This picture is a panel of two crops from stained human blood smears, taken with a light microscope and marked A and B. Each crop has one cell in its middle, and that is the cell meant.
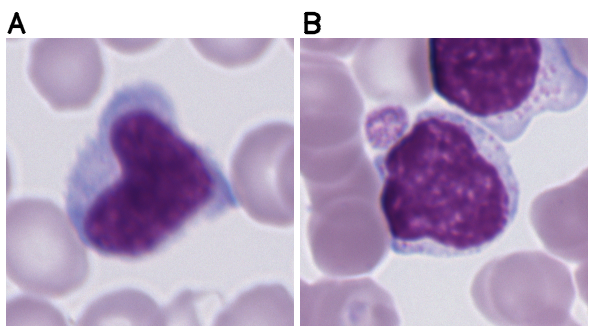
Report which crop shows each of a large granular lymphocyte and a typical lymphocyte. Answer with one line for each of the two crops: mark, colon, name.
A: typical lymphocyte
B: large granular lymphocyte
